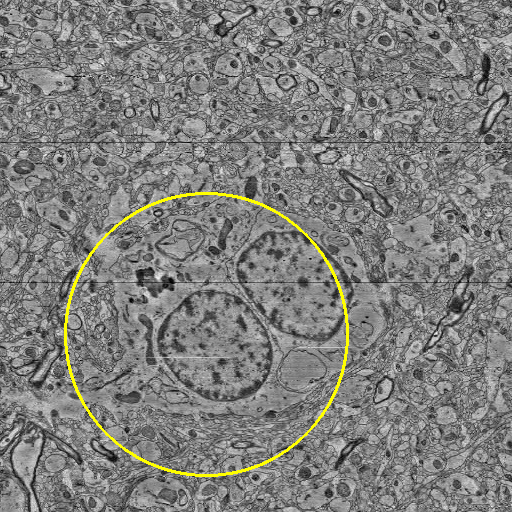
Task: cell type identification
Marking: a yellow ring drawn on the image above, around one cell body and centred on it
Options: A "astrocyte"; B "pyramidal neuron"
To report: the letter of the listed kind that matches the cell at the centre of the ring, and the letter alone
A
